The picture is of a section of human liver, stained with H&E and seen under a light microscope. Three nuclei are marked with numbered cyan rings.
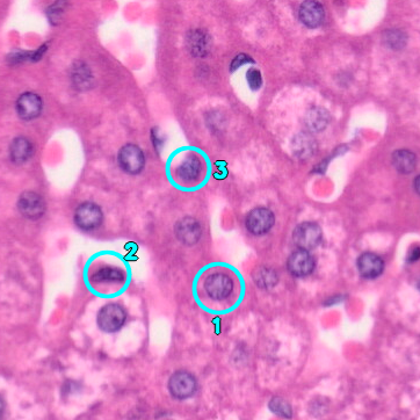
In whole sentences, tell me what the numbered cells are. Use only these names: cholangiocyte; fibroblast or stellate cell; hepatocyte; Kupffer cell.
Cell 1 is a hepatocyte. Cell 2 is a Kupffer cell. Cell 3 is a fibroblast or stellate cell.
